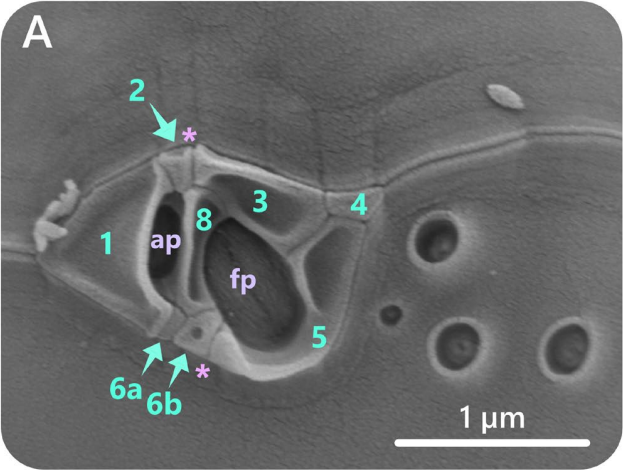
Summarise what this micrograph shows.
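Scanning electron view of the periflagellar area of a dinoflagellate cell, a small recessed cluster of thin platelets set into the smooth cell covering. A large oval opening lies in the middle, with a smaller elongate opening on its left, separated by a narrow ridge-like platelet. Triangular and curved platelets with raised rims surround the two openings and meet the surface covering at a suture. Several round pores with raised margins pierce the nearby covering to the right.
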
